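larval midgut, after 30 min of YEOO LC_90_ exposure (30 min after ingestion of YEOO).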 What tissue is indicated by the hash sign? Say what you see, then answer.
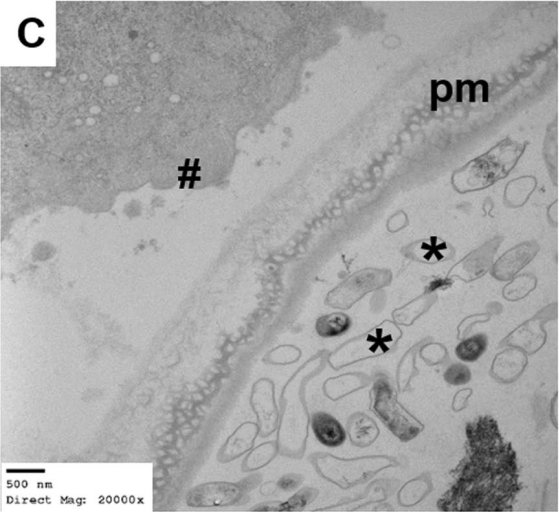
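The hash sign lies on a cell mass at the upper left whose free surface faces a pale space. That surface is irregular and lacks microvilli. That points to this answer: apical epithelium.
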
